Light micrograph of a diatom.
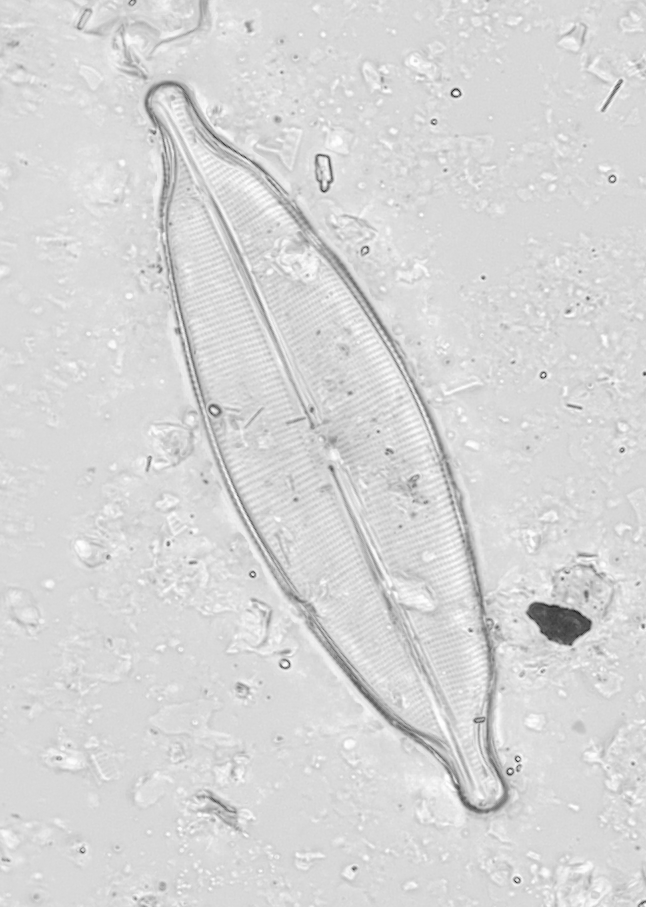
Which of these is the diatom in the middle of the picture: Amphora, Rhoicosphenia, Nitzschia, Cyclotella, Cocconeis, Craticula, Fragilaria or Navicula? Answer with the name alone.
Craticula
